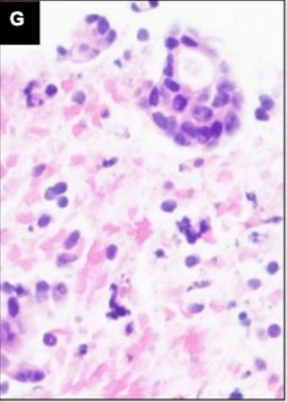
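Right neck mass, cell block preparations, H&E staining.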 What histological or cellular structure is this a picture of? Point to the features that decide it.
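Tubules. At upper right, cells are arranged in a ring around a central lumen. Scattered single cells lie in a pink background.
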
